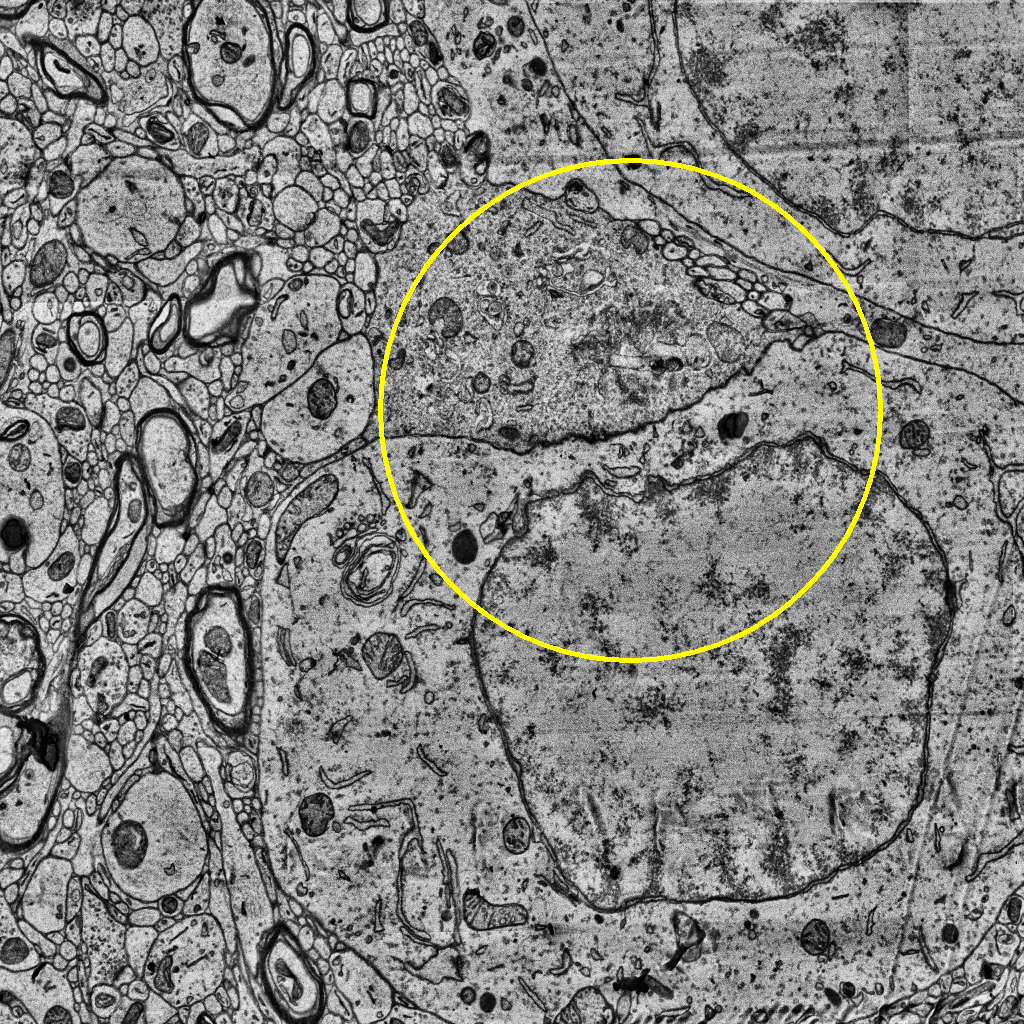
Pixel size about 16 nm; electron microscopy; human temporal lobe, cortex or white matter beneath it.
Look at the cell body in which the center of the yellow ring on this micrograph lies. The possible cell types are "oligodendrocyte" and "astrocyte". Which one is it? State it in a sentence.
The cell at the middle of the ring is an oligodendrocyte.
